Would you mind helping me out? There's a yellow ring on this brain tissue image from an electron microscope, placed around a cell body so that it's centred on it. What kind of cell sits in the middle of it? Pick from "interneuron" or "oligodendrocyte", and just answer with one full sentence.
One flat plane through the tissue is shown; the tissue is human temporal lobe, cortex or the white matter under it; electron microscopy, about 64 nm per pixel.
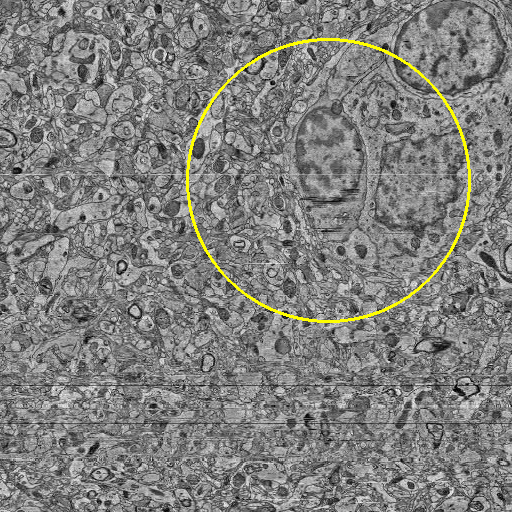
What sits in the middle of that yellow ring is an oligodendrocyte, from your choices.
